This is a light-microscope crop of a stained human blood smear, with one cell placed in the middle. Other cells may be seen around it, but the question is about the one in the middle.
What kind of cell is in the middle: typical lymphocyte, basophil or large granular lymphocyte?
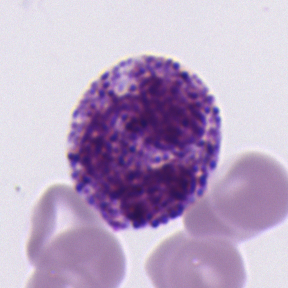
basophil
